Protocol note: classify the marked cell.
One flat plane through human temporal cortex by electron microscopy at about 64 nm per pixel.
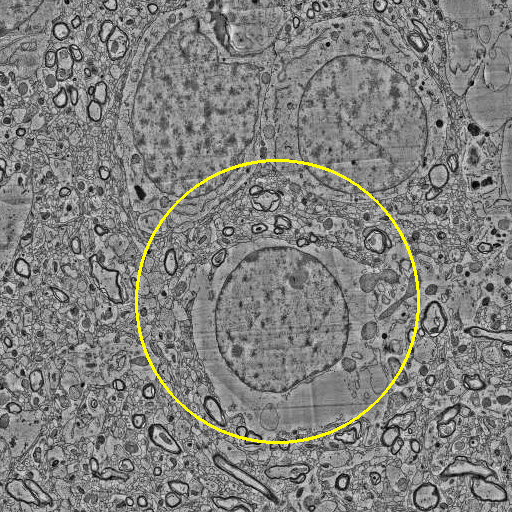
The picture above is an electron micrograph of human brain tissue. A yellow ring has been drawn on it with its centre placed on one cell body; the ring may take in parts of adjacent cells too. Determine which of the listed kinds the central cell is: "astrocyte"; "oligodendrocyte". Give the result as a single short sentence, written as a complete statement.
The central cell is an astrocyte.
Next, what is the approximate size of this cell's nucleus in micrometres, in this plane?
About 9 micrometers across, in this plane.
